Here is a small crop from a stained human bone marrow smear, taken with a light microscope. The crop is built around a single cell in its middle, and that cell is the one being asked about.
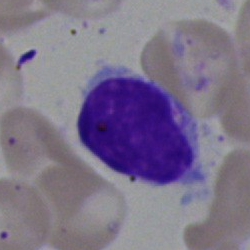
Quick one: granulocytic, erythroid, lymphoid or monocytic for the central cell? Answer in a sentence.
The cell in the middle belongs to the lymphoid lineage.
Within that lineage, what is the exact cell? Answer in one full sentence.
On this slide crop, the central cell is a lymphocyte.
